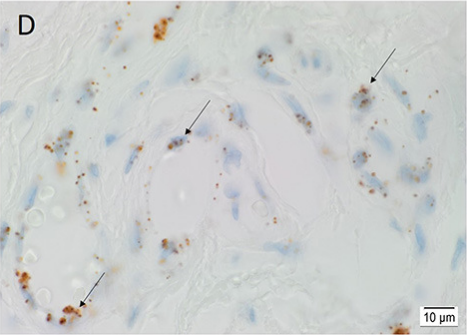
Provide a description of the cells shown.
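Rounded and oval lumens are seen, outlined by flattened cells whose elongated blue nuclei hug the rim. Many cells, both at the lumen edges and in the walls and tissue between the vessels, are peppered with small brown dots, often gathered in clusters over and around the nuclei. Brown dots are abundant here across much of the field.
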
